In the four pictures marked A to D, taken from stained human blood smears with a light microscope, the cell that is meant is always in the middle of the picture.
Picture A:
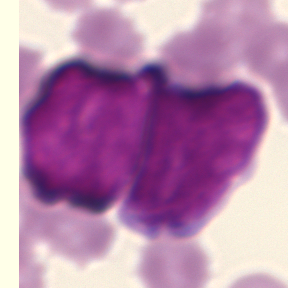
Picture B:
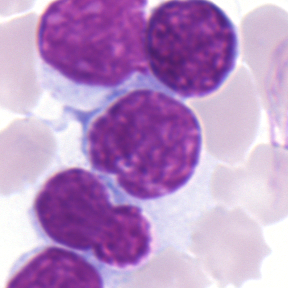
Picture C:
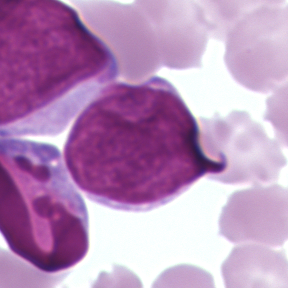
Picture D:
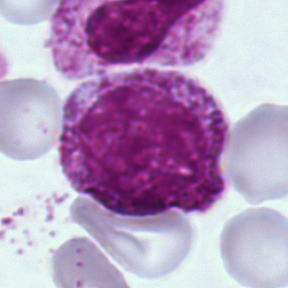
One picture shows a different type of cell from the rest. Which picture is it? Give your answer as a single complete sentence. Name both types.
Unlike the rest, which show myeloblasts, picture D shows a myelocyte.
